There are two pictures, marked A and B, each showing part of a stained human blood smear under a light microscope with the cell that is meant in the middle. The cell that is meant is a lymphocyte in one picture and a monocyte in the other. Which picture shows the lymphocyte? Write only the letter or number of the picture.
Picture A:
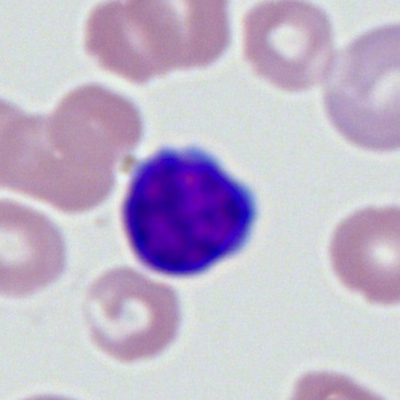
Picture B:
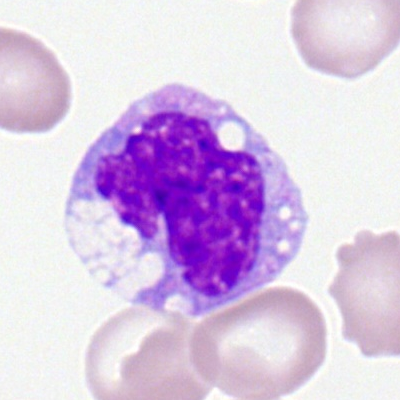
A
